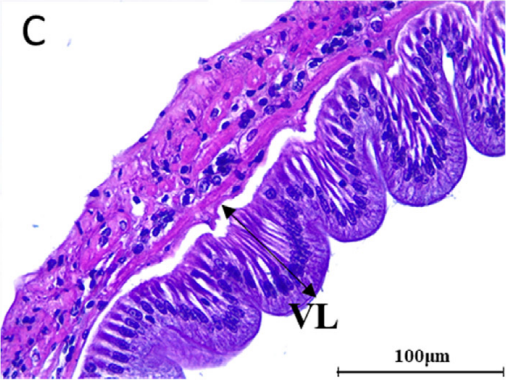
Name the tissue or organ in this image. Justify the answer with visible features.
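A tall columnar epithelium lines a lumen on one side of the wall. The epithelium is thrown into folds projecting into the lumen. Loose connective tissue with scattered nuclei lies beneath the epithelium.
Answer: Intestinal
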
